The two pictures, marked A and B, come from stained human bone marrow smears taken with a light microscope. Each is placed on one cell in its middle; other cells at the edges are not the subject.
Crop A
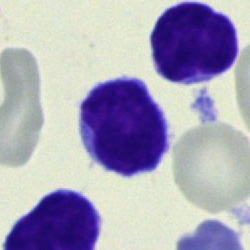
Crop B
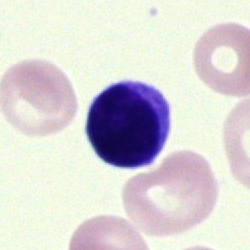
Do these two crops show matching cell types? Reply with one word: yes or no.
yes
